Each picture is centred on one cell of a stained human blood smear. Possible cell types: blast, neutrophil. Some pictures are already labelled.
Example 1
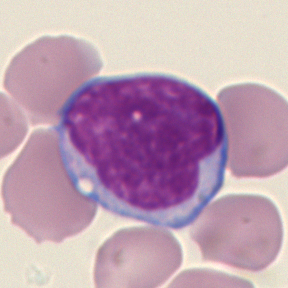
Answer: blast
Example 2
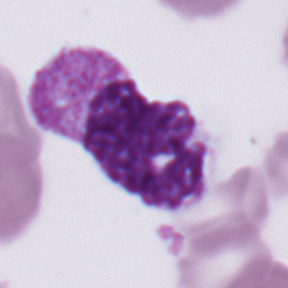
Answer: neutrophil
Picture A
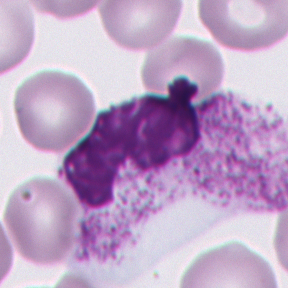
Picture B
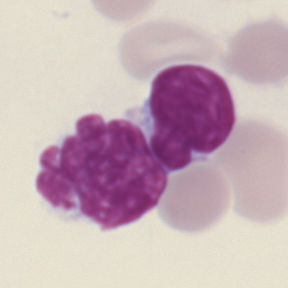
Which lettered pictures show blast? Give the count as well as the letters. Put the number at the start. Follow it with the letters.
Count: 1 (B)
